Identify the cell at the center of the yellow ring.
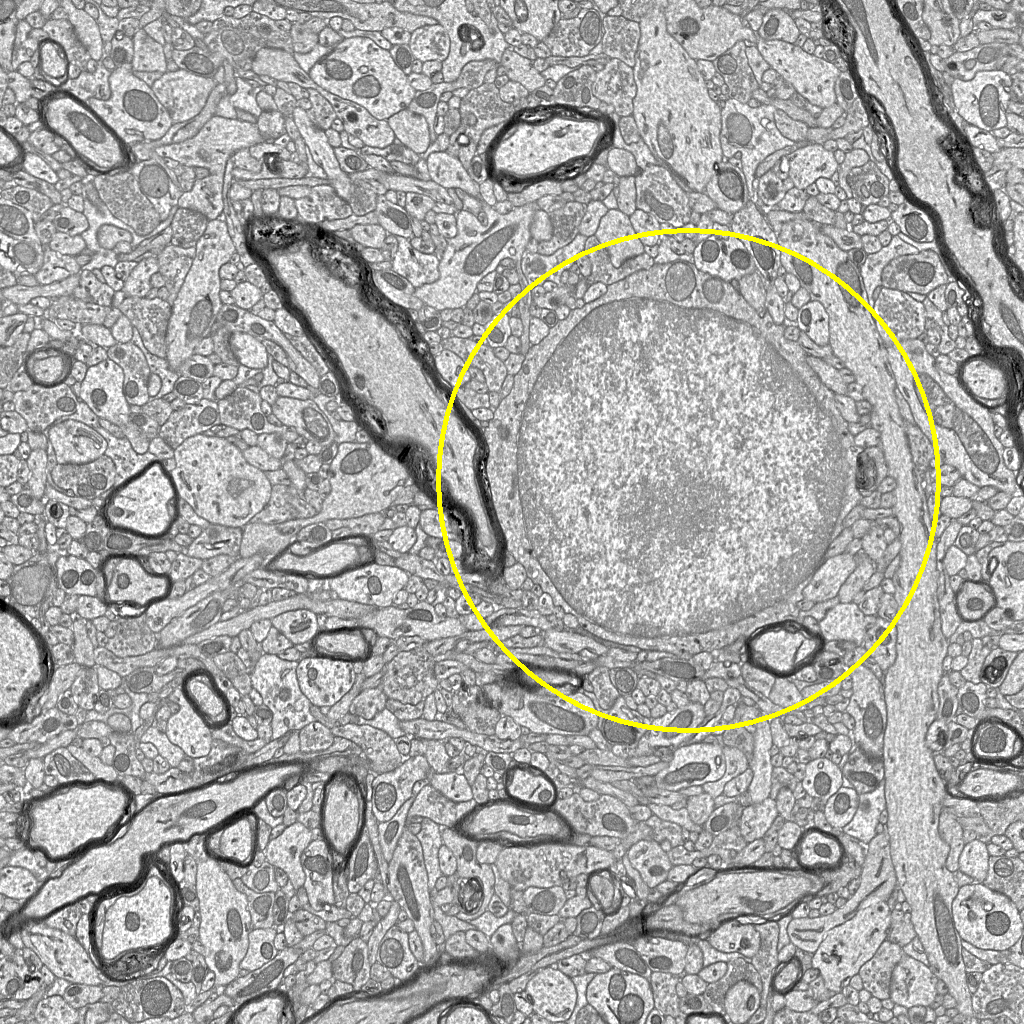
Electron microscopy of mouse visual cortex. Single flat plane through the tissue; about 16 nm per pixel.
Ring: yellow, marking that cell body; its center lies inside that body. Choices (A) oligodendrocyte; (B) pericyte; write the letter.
A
